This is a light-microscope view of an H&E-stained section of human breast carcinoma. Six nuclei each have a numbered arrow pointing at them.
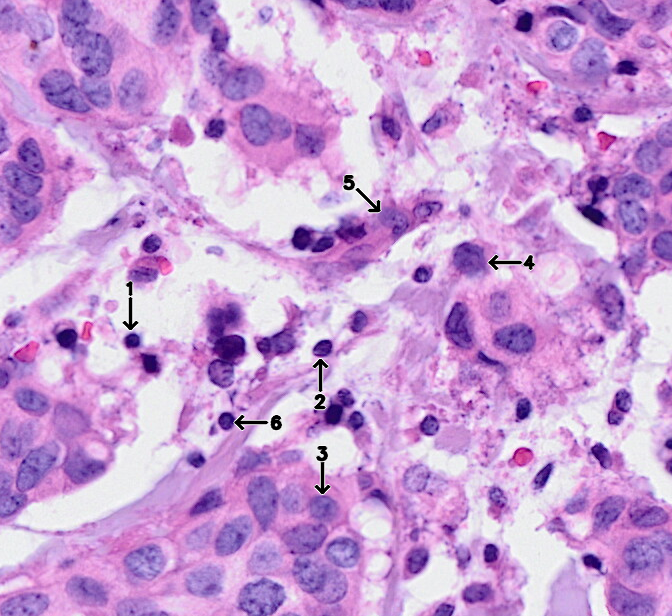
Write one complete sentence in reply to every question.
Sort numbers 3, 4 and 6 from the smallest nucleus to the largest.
By area, going up from the smallest, they rank 6, 3, 4.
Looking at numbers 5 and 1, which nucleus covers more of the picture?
Number 5 is larger; its area is about 2.5 times that of number 1.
